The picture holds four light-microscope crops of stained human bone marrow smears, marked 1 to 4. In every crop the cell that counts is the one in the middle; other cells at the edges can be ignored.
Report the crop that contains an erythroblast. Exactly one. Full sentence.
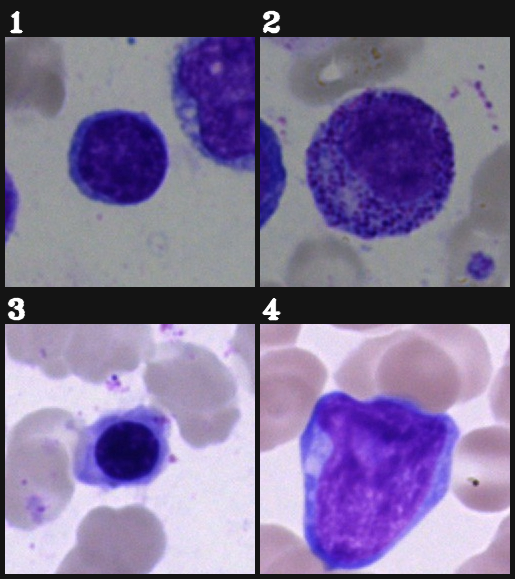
Among the crops, only crop 3 contains an erythroblast.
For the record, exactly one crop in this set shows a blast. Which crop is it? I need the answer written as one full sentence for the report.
The sole crop showing a blast is crop 4.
